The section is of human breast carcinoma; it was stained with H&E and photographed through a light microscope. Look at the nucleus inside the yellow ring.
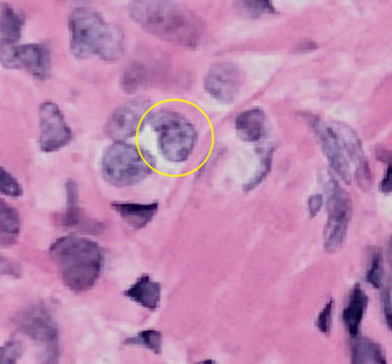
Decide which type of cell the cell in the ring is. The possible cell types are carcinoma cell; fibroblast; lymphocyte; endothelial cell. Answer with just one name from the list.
carcinoma cell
